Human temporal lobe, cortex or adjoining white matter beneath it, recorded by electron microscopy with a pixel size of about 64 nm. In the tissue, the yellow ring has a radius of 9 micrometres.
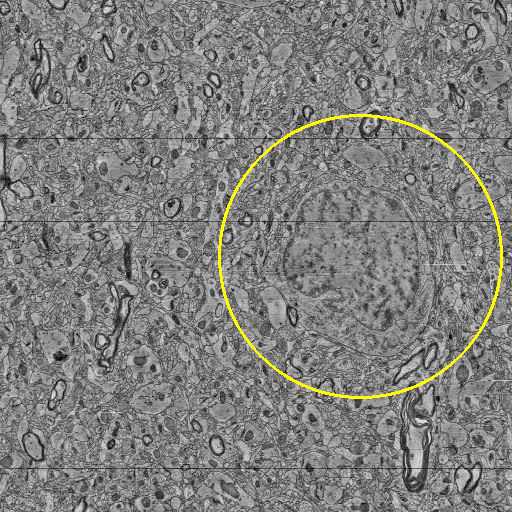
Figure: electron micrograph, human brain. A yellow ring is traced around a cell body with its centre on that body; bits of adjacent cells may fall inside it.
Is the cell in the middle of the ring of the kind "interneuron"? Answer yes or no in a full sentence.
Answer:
Yes, that kind applies to the cell centred within the yellow ring of the picture.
